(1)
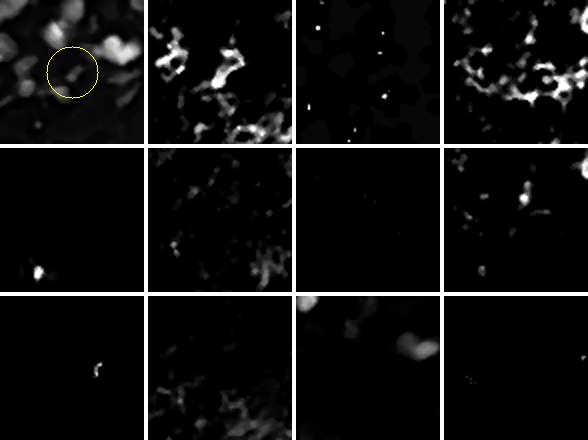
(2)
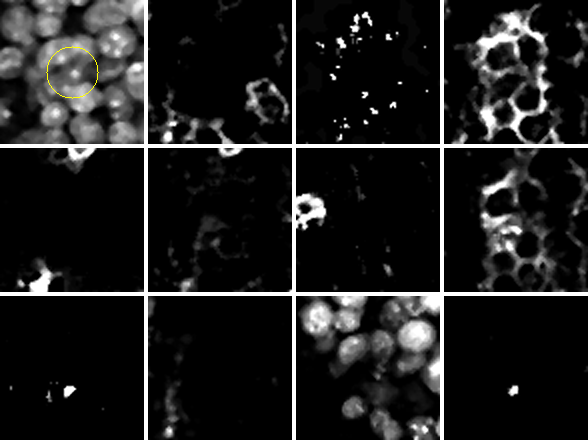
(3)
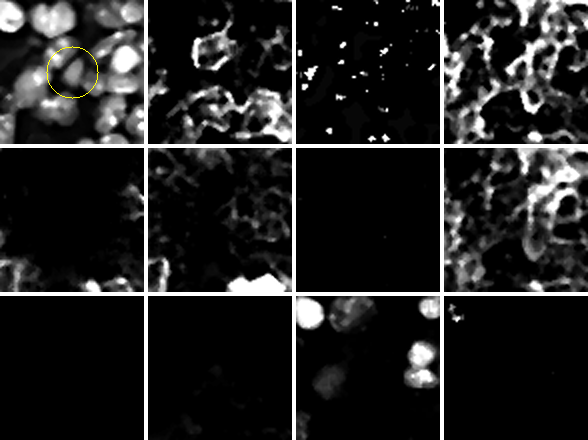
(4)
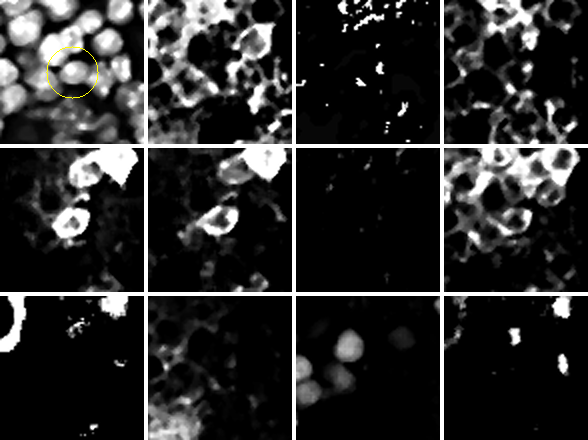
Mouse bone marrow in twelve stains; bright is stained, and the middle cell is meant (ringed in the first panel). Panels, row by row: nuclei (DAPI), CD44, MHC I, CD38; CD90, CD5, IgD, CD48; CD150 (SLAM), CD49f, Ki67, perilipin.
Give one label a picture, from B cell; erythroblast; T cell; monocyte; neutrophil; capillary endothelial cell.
1. neutrophil
2. monocyte
3. capillary endothelial cell
4. T cell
